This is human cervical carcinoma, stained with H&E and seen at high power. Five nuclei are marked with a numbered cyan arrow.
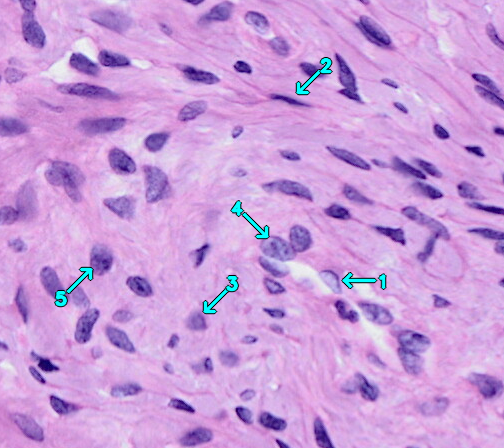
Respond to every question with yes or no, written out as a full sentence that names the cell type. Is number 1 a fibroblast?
No, the cell tagged 1 is an endothelial cell, and not a fibroblast.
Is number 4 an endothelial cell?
Yes, number 4 marks a cell that is an endothelial cell.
